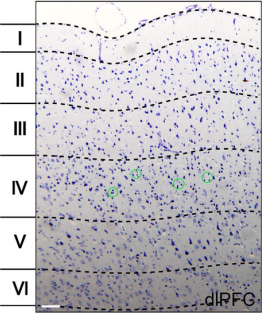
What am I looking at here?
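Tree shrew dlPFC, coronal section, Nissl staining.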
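The uppermost layer is nearly free of cell bodies, while the layers below hold scattered stained cell bodies, many elongated and oriented perpendicular to the surface. Cells in the deeper layers appear somewhat larger and more elongated than the circled cells.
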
